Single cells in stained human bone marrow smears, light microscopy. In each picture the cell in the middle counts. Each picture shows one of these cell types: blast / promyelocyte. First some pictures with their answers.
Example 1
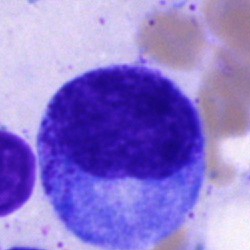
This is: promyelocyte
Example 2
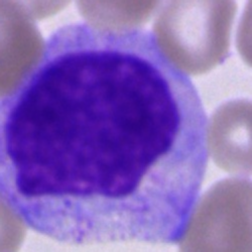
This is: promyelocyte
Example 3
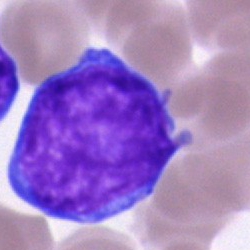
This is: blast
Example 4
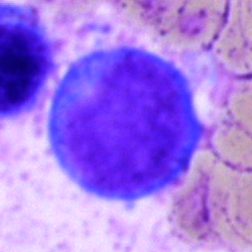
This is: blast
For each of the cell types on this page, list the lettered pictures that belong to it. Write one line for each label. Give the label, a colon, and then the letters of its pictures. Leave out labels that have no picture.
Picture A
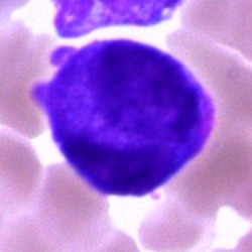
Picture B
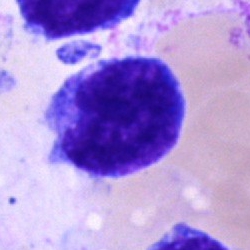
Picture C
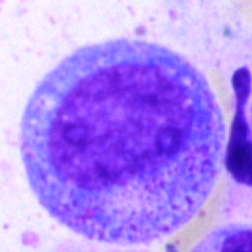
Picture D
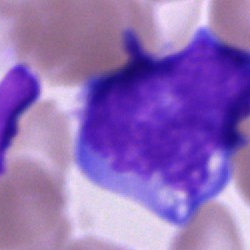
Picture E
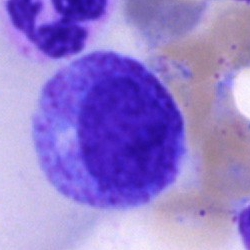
blast: A, B, D
promyelocyte: C, E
